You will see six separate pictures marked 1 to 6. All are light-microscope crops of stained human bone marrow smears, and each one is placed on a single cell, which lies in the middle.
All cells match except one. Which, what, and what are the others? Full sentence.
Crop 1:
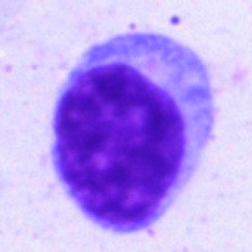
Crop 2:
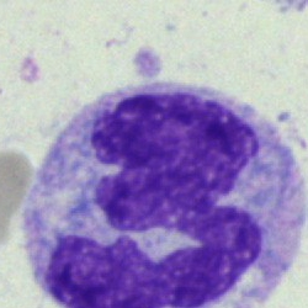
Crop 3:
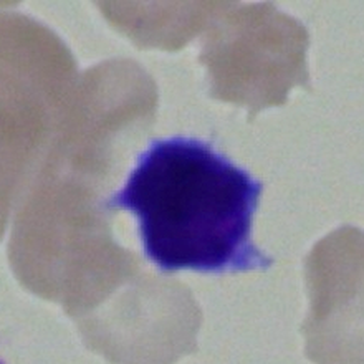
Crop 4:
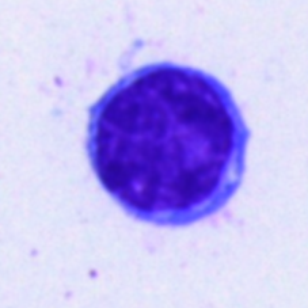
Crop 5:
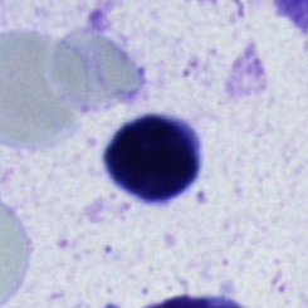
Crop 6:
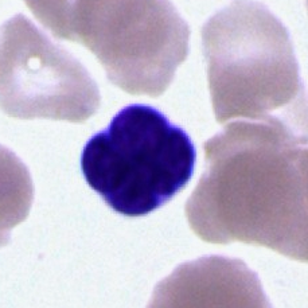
The others are all lymphocytes; crop 2 is a monocyte.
